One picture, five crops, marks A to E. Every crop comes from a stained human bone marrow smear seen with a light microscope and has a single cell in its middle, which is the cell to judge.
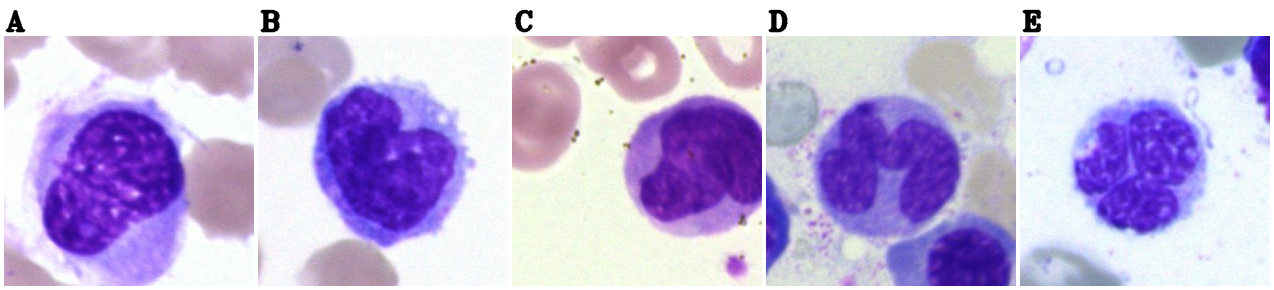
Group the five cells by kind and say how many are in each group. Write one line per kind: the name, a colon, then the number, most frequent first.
monocyte: 4
hairy cell: 1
